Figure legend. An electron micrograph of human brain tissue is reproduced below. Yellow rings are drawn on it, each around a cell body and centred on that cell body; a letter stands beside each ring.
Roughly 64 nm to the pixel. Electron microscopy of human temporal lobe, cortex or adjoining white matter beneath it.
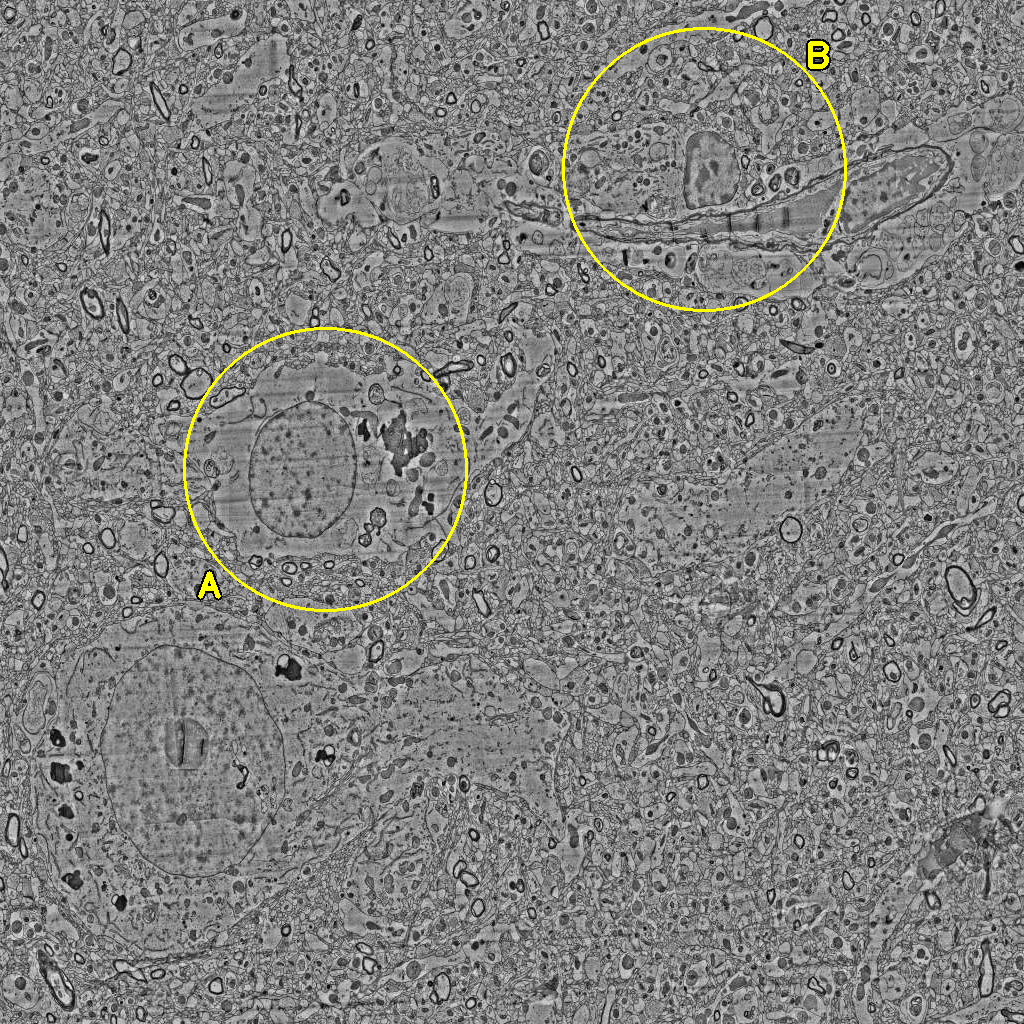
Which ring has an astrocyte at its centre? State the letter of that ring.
A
